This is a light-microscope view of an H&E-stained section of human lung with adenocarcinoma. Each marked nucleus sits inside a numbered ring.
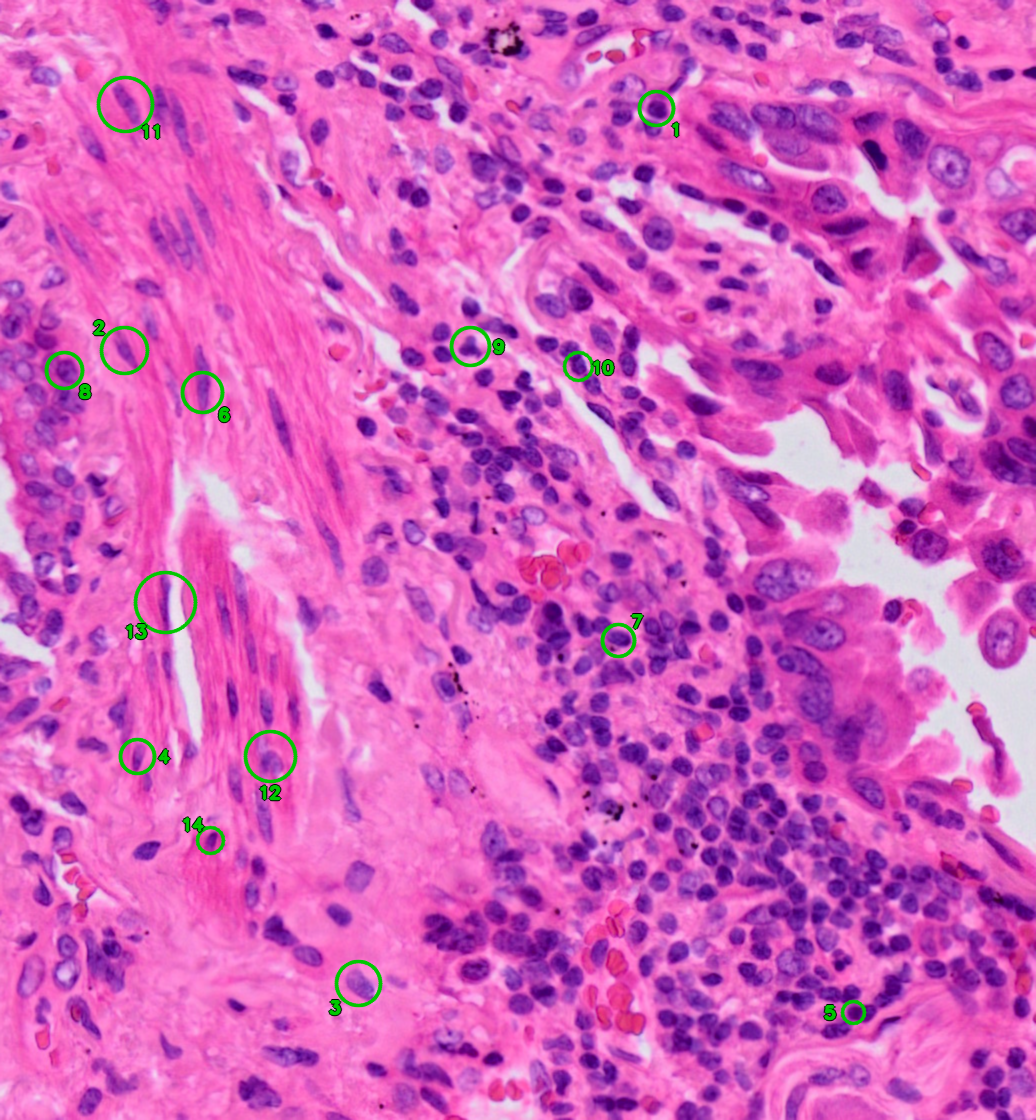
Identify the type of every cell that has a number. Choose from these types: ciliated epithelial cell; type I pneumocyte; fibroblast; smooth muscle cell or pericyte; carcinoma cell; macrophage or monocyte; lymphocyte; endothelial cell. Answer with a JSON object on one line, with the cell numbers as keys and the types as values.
{"1": "lymphocyte", "2": "smooth muscle cell or pericyte", "3": "fibroblast", "4": "smooth muscle cell or pericyte", "5": "lymphocyte", "6": "smooth muscle cell or pericyte", "7": "lymphocyte", "8": "ciliated epithelial cell", "9": "lymphocyte", "10": "lymphocyte", "11": "smooth muscle cell or pericyte", "12": "smooth muscle cell or pericyte", "13": "smooth muscle cell or pericyte", "14": "smooth muscle cell or pericyte"}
